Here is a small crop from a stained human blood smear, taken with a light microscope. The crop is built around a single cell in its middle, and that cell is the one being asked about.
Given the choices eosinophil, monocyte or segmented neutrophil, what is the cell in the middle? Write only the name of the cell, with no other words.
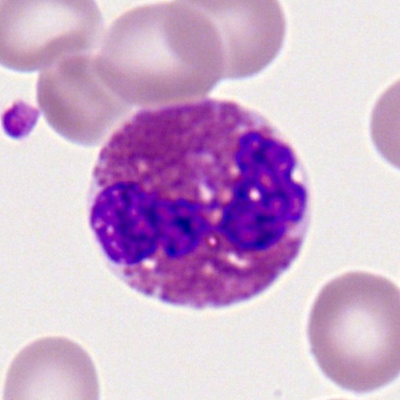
eosinophil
